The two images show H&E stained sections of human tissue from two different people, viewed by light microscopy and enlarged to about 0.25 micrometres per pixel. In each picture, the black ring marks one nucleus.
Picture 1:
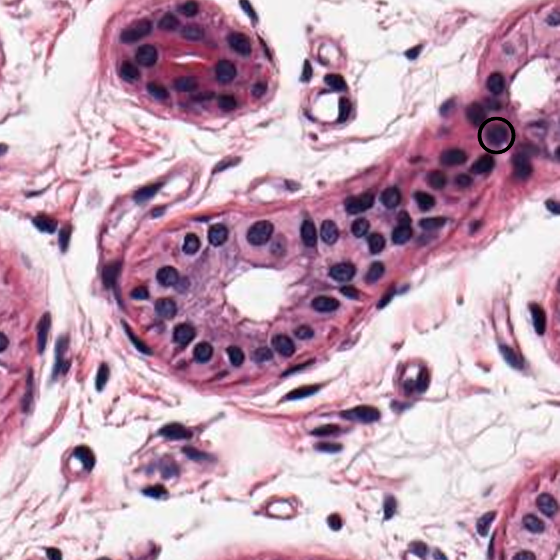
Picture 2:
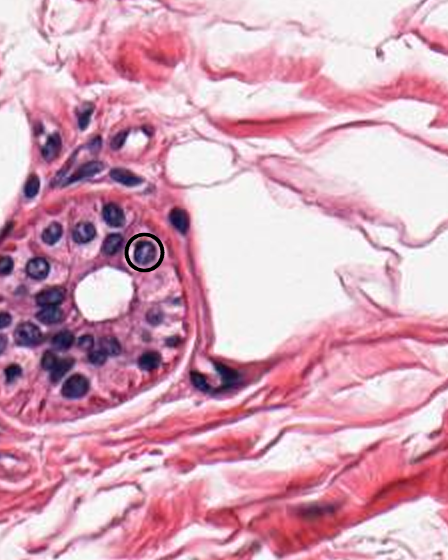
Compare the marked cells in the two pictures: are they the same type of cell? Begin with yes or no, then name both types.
Yes, both are sweat gland cells.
